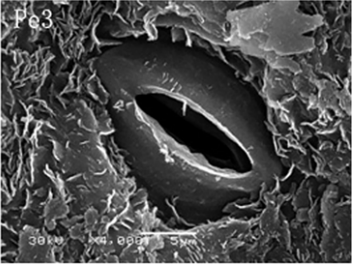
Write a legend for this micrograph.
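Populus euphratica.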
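A single stoma on the leaf epidermis seen from the surface. Two kidney-shaped guard cells enclose an elongated, elliptical pore lying obliquely across the field; the pore is open as a dark slit, and a thin ledge-like rim runs along its edges. The guard cells have a relatively smooth surface and sit slightly below the level of the surrounding epidermis. The neighbouring epidermal surface is densely covered with small, irregular, upright flakes and plates, giving it a rough, crumpled texture that contrasts with the smoother guard cells.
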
